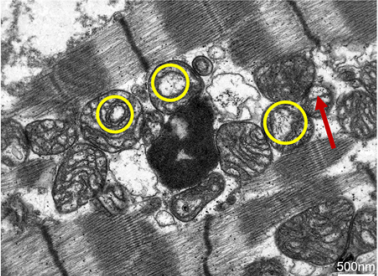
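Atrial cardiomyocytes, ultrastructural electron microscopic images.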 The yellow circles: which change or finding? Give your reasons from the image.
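Mitochondrial swelling and vacuolization. The circled mitochondria have pale, cleared matrix. Few cristae remain inside the circled regions.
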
